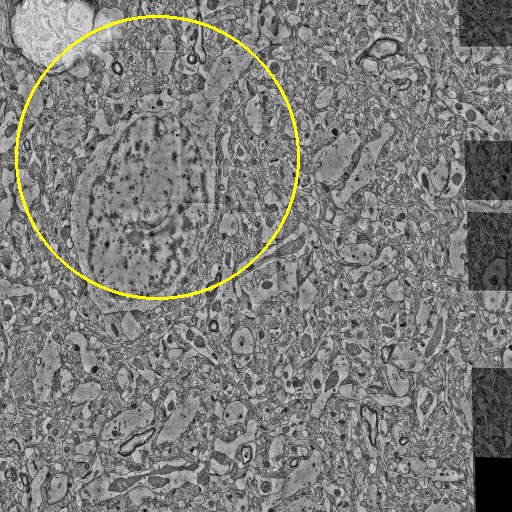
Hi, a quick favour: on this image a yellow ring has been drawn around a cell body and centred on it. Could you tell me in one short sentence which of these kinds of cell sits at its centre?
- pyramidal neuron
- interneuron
The ring is centred on an interneuron.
